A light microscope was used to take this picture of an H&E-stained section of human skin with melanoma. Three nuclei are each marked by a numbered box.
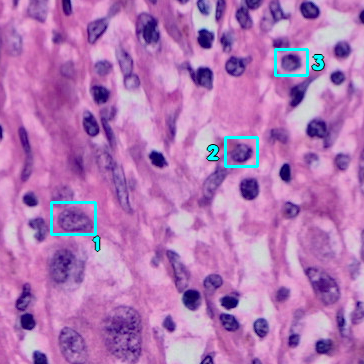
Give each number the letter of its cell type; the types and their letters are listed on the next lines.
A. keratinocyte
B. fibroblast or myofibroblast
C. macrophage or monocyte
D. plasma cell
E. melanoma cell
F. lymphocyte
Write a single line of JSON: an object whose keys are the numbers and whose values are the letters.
{"1": "E", "2": "D", "3": "F"}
